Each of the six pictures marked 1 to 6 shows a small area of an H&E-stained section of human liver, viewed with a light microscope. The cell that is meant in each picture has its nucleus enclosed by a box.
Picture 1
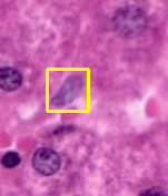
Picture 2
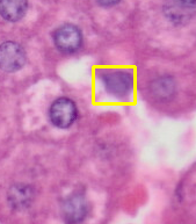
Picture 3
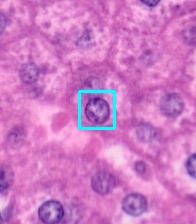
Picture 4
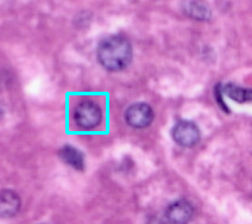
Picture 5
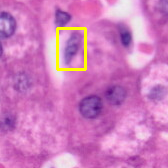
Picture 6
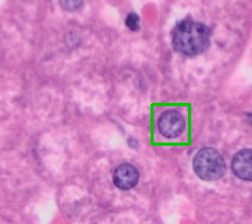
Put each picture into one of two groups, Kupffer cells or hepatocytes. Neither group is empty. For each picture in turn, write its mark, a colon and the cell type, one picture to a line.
1: Kupffer cell
2: Kupffer cell
3: hepatocyte
4: hepatocyte
5: Kupffer cell
6: hepatocyte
